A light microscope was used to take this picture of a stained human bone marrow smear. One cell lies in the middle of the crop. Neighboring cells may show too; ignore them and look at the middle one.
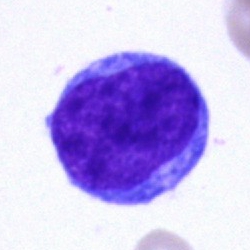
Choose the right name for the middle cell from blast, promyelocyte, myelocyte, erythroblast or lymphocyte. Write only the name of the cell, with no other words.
blast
